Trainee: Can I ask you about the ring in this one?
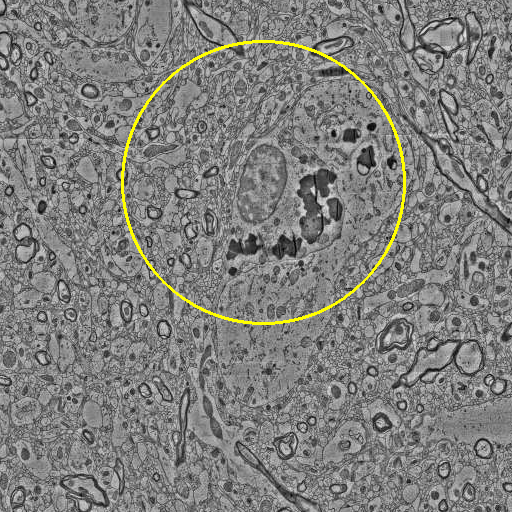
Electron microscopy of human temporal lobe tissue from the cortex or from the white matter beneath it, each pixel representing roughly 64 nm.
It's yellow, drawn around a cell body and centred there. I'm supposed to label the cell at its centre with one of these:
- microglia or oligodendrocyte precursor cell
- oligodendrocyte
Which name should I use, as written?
oligodendrocyte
